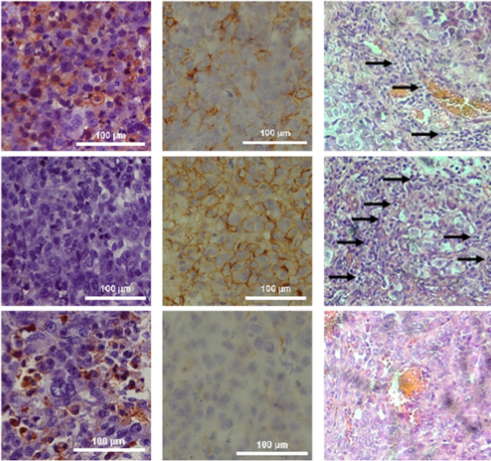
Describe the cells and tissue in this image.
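This is a grid of sections through a solid tumor, densely packed with cells whose round to oval nuclei are counterstained blue-purple. In the left column, brown stain fills many of the tumor cells, strongest in the top and bottom images and much fainter in the middle one. In the middle column, the brown stain outlines cell borders, giving a net-like pattern in the top and middle images, while the bottom image is almost unstained. The right column shows pink-and-purple stained tissue in which arrows point to small cells with dark, compact nuclei scattered among the larger tumor cells; these are most numerous in the middle image. Red blood cells fill a vessel in the top image.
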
